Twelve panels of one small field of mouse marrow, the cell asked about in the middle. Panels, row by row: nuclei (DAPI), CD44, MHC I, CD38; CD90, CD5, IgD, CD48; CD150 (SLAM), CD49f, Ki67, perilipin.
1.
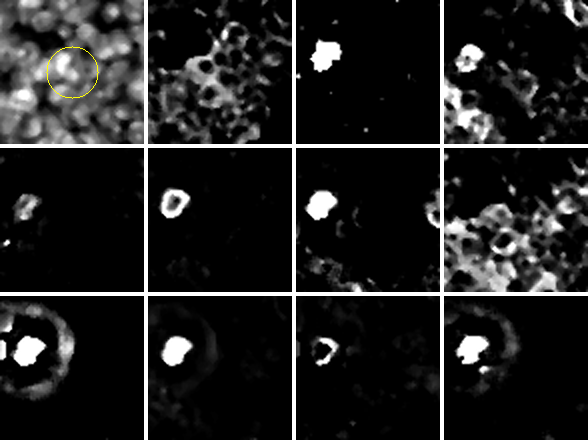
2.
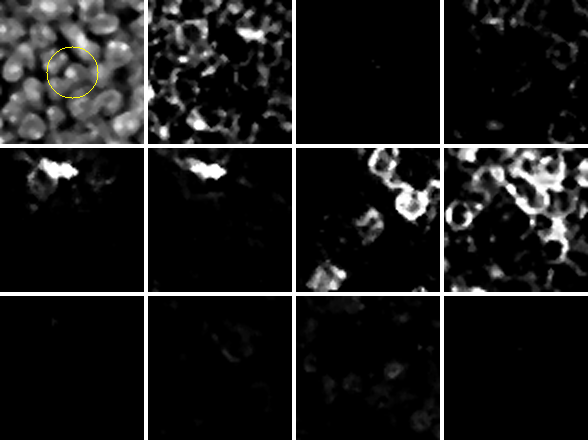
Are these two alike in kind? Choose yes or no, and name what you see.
Yes. B cells.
